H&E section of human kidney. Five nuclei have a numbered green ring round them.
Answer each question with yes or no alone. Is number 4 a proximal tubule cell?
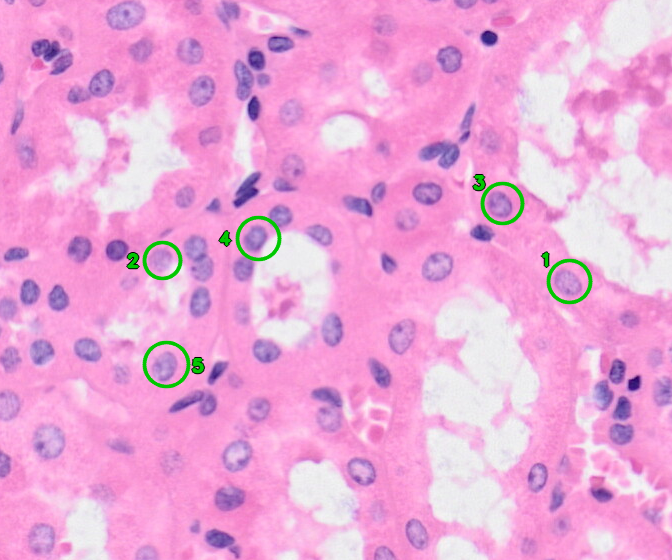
no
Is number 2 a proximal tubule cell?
no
